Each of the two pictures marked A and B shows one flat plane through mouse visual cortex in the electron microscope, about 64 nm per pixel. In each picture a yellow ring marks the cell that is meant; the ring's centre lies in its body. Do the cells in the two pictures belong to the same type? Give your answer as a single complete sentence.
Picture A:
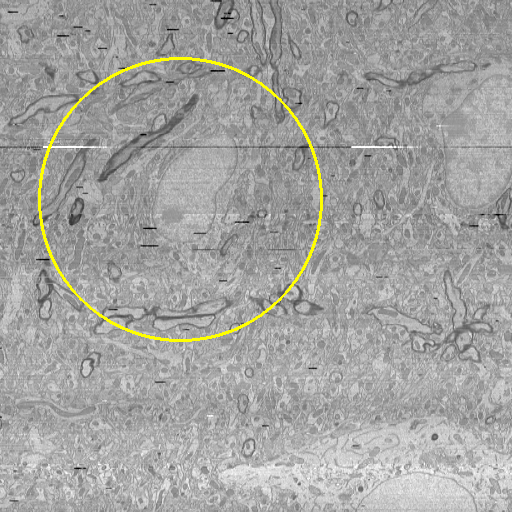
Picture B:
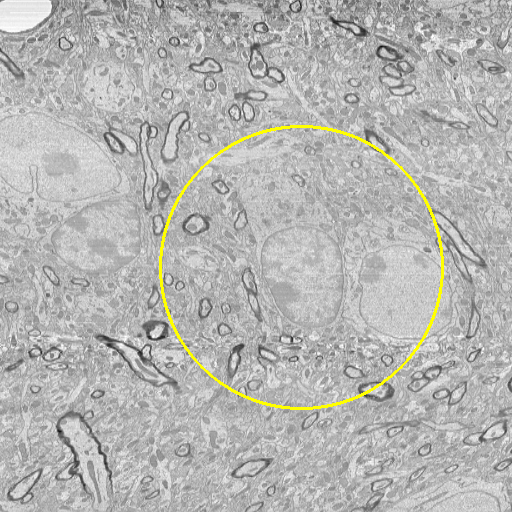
No. Picture A shows an astrocyte, but picture B shows an oligodendrocyte.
